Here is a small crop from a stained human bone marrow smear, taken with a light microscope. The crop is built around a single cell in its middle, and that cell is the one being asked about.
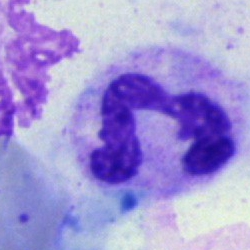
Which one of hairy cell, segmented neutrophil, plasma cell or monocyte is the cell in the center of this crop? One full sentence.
The cell of interest, located centrally, is a segmented neutrophil.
